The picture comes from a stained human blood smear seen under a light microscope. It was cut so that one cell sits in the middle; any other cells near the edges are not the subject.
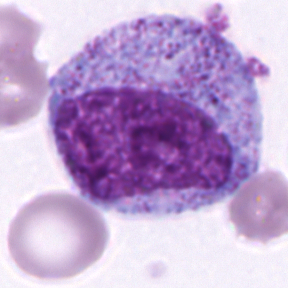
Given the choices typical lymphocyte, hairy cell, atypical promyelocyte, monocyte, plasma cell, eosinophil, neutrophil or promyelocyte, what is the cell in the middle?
promyelocyte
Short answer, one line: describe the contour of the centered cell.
The cell shows an uneven border, formed by ragged areas or by outward projections.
